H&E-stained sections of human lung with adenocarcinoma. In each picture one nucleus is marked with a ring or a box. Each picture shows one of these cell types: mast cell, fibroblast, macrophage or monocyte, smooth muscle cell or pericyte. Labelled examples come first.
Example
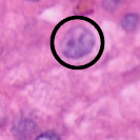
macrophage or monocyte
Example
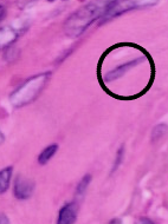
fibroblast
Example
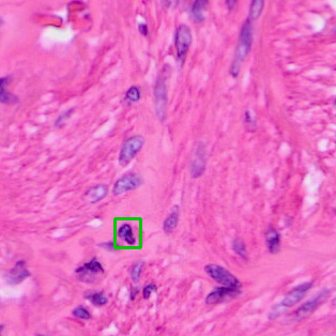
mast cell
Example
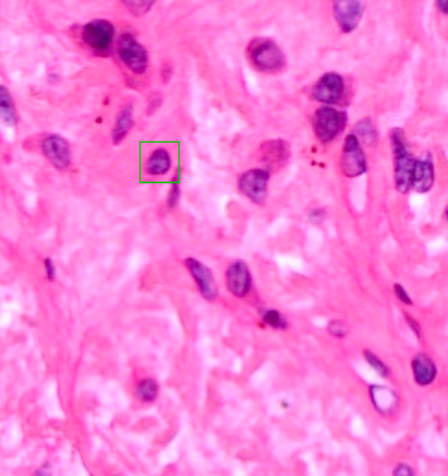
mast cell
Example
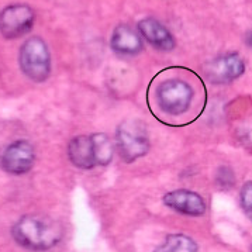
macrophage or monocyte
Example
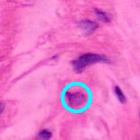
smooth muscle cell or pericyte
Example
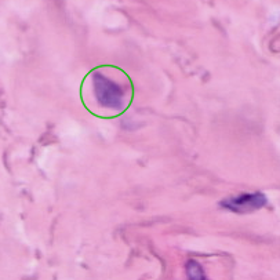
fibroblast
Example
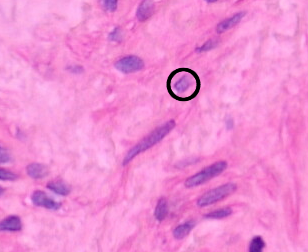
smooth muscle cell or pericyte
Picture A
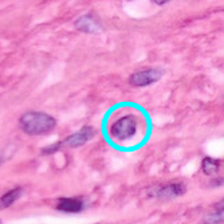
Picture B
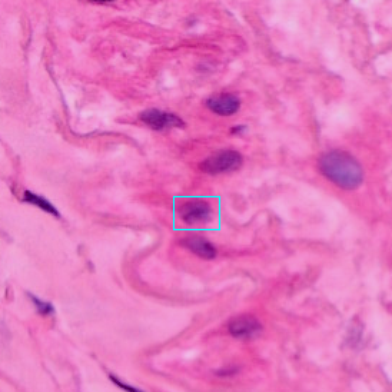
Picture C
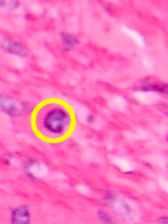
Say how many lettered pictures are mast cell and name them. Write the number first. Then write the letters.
Count: 2 (A, C)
